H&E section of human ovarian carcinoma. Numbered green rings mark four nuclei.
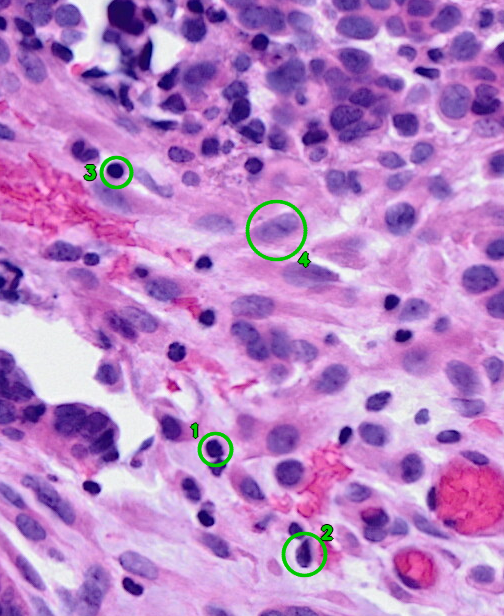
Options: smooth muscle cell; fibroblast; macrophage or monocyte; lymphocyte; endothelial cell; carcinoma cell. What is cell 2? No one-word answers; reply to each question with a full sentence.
The expected answer is that cell 2 is a lymphocyte.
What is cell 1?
The cell identified by number 1 is a lymphocyte.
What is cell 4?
Cell 4, as marked in the section, is a fibroblast.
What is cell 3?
In this section, the cell numbered 3 is a lymphocyte.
